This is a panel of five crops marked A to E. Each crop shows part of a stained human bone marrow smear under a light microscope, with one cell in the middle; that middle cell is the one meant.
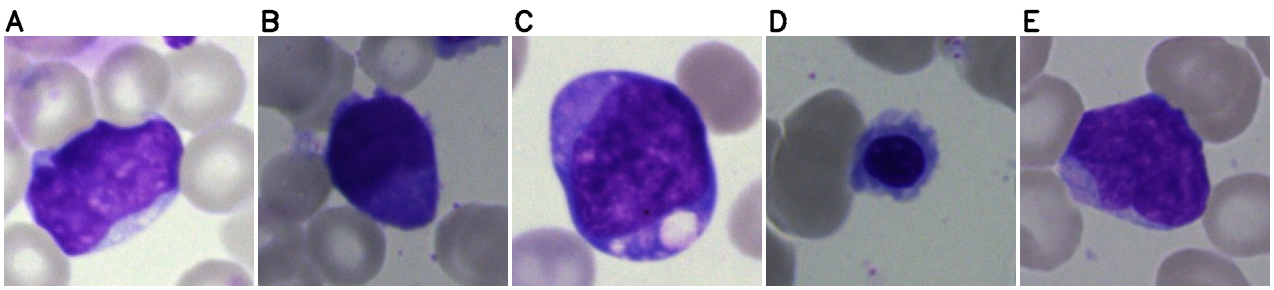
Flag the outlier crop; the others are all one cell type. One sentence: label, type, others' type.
Unlike the other crops, all showing blasts, crop D is an erythroblast.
